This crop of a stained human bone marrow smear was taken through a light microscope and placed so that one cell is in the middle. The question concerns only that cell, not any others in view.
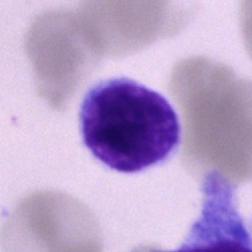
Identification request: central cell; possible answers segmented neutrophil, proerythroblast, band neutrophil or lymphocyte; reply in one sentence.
The identification for the central cell is a lymphocyte.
